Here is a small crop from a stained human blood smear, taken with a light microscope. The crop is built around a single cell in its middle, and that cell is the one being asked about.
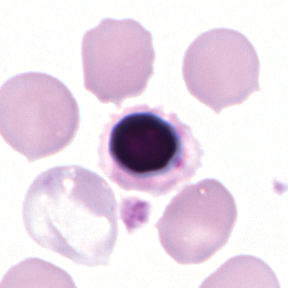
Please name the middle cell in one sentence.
By classification, the middle cell of this crop is a normoblast.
